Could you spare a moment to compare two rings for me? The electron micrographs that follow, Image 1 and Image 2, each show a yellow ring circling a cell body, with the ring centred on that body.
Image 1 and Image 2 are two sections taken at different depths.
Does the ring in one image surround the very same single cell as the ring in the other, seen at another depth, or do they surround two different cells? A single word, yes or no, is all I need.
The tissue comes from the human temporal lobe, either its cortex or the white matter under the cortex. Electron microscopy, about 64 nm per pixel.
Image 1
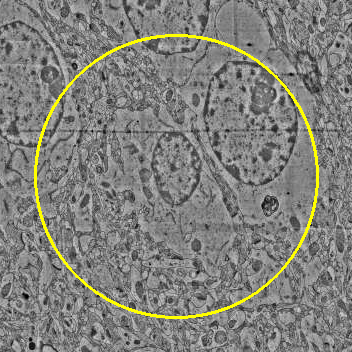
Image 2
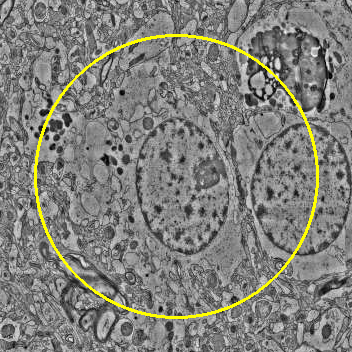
no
